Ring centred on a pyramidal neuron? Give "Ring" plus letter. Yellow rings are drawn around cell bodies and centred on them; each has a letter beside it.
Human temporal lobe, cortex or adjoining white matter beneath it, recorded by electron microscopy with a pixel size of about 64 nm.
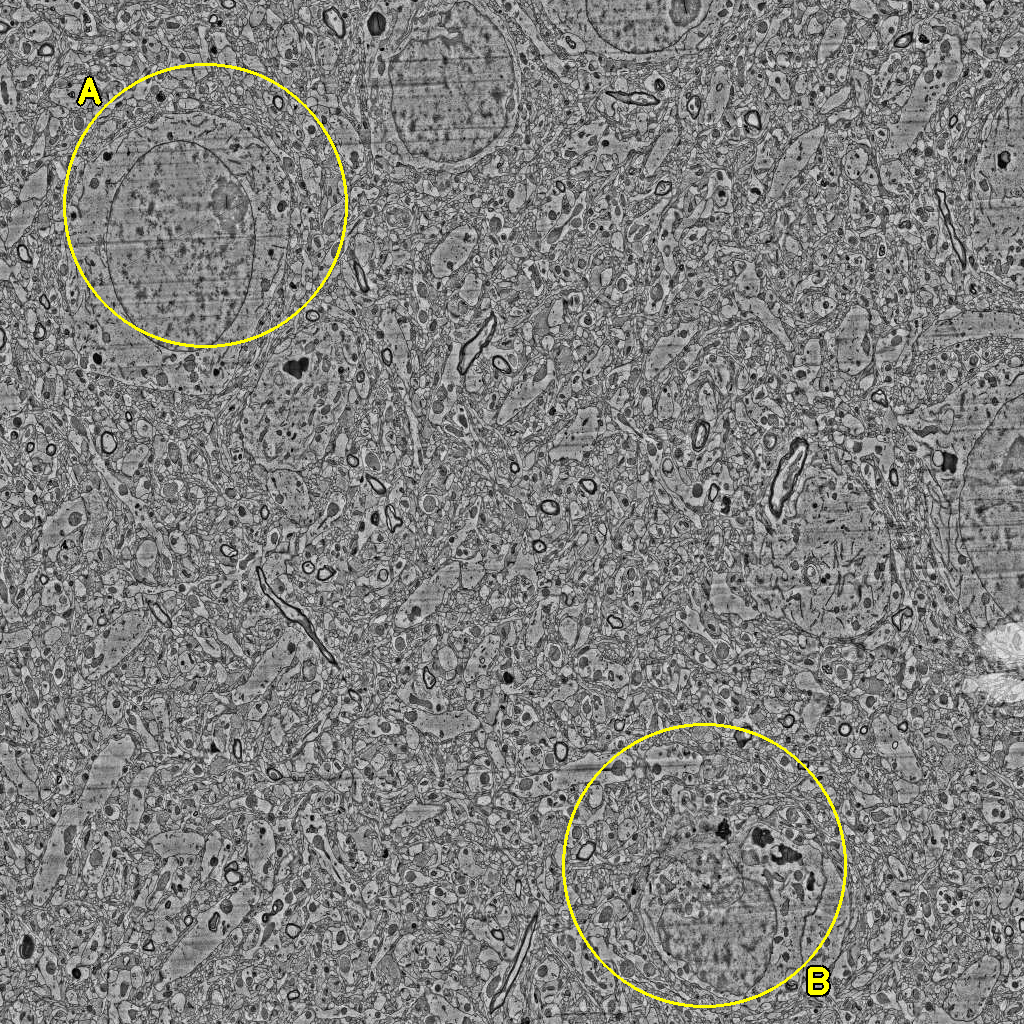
Ring A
